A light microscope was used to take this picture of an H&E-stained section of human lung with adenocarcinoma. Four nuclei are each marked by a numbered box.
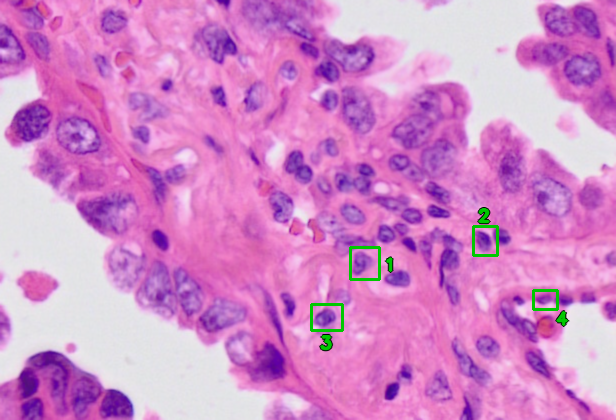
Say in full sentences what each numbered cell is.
Cells 1, 2 and 3 are lymphocytes. Cell 4 is an endothelial cell.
